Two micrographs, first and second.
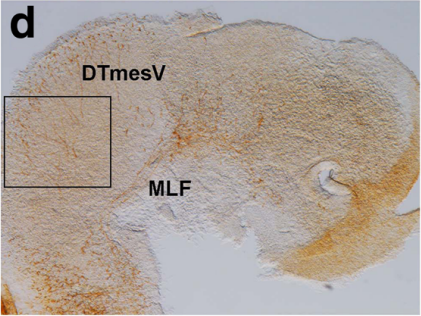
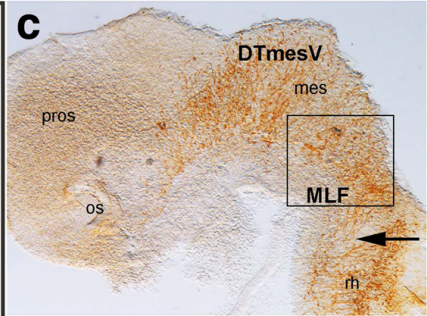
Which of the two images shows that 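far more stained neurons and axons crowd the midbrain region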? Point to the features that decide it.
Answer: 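First image: the midbrain region shows only sparse, faint brown fibres. Second image: the midbrain region is densely covered with dark brown cells and fibres. The answer: the second image.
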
